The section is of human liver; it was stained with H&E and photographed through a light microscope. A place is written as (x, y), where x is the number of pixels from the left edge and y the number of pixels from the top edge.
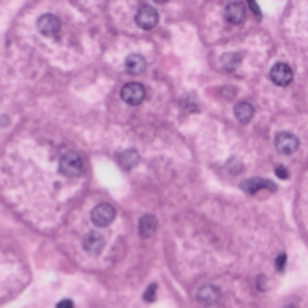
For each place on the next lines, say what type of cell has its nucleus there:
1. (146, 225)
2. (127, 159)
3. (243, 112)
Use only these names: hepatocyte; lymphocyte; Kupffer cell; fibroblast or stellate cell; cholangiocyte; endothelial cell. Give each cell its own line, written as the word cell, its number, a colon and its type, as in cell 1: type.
cell 1: endothelial cell
cell 2: hepatocyte
cell 3: hepatocyte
